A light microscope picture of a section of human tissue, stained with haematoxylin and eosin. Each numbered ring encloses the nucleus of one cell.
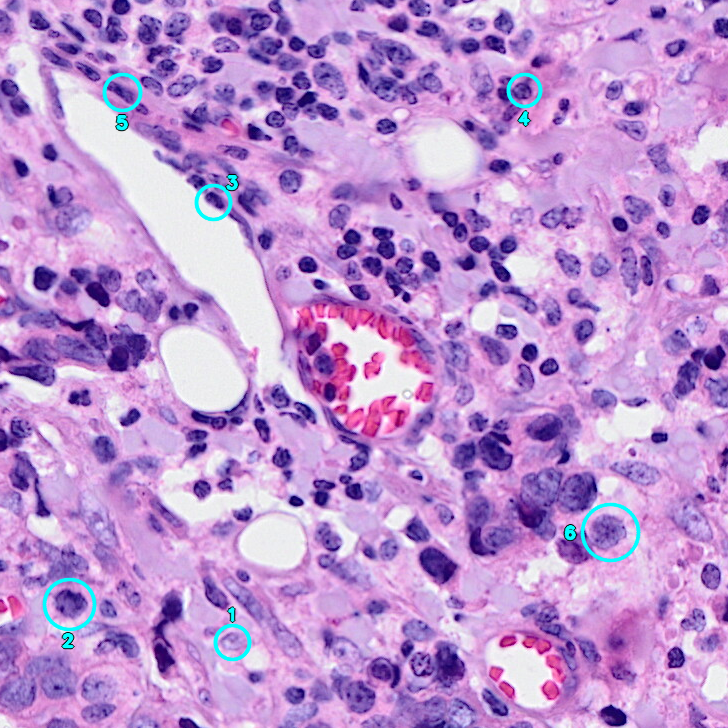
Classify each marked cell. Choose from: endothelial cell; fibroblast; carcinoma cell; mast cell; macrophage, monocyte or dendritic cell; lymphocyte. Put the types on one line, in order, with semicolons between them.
macrophage, monocyte or dendritic cell; carcinoma cell; lymphocyte; lymphocyte; lymphocyte; carcinoma cell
